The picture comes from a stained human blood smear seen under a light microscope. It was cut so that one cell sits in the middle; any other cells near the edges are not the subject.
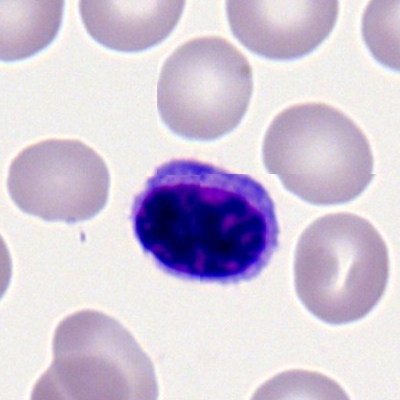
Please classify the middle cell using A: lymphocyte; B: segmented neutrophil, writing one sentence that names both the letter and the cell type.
Occupying the middle of the crop is a lymphocyte, hence option A is correct.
